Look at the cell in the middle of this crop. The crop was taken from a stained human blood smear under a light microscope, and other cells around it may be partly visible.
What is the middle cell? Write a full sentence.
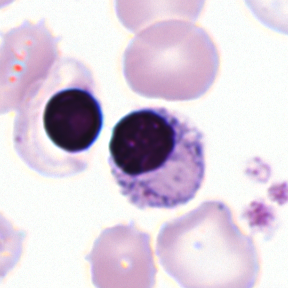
In the central position of this crop, the cell is an erythroblast.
